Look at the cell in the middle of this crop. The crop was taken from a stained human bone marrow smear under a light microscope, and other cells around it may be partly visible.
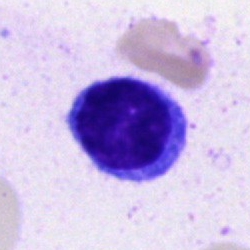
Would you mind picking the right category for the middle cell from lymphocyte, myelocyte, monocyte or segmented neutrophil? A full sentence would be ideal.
The cell positioned in the middle of the field is a lymphocyte.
